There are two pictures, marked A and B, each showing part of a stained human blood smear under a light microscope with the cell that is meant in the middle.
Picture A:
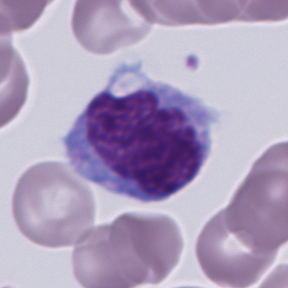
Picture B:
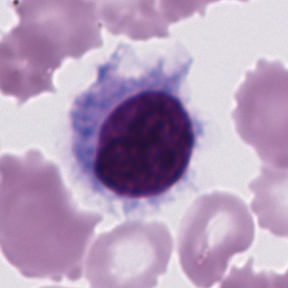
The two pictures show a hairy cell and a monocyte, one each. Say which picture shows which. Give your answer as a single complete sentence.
In picture A the cell is a monocyte; in picture B, a hairy cell.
